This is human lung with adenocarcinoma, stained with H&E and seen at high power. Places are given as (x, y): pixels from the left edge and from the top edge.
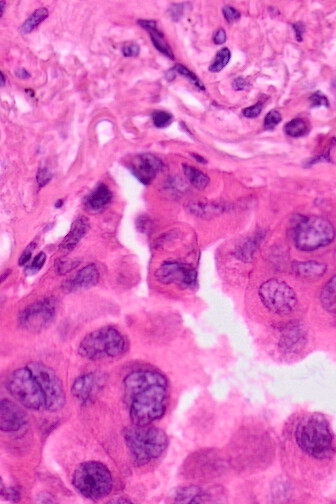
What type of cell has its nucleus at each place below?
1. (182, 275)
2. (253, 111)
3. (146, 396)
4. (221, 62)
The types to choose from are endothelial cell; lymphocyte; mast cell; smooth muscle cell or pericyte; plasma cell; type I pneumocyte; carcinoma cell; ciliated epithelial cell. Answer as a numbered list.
1. carcinoma cell
2. plasma cell
3. carcinoma cell
4. lymphocyte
